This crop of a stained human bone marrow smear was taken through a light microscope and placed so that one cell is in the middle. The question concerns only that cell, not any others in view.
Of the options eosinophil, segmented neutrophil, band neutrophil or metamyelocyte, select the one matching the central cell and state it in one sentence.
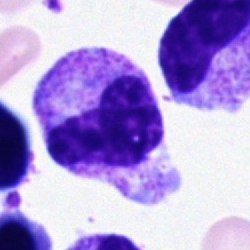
The cell marked by its central position in the crop is a metamyelocyte.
